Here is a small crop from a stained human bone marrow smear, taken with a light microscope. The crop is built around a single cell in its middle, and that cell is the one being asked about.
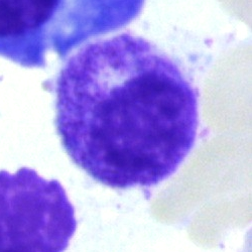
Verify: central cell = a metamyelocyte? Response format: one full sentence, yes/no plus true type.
No, not a metamyelocyte here; the centered cell is a myelocyte.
